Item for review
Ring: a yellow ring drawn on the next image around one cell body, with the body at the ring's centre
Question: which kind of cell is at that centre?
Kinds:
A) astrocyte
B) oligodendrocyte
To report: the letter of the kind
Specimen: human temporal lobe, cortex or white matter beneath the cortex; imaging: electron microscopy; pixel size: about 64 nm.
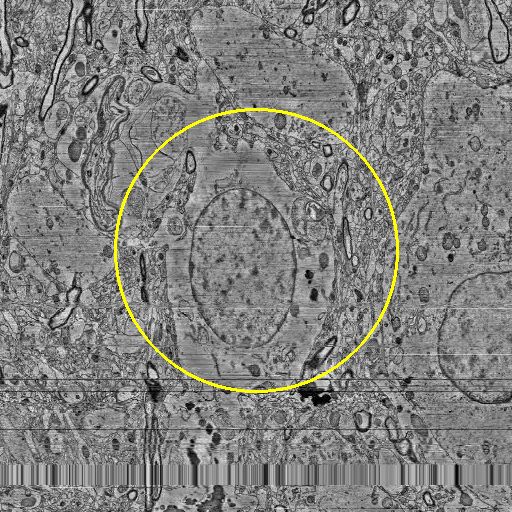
A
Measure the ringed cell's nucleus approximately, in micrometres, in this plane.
In this plane the nucleus is about 11 micrometres by 7.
